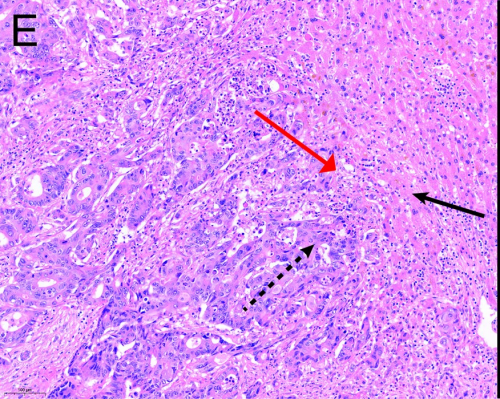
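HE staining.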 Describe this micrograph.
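This junction of tumor and liver has no clear border: irregular glands and cords of tumor cells with dark, crowded nuclei on the left run directly into plates of large pink liver cells with round nuclei on the right. Small groups of tumor cells lie in among the liver cells, with no fibrous band in between.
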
